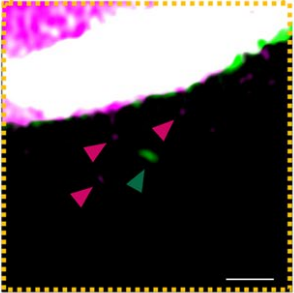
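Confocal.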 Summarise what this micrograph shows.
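At high magnification, the edge of a labelled cell appears as a bright band with a green-lined margin bordering a dark space. Within the dark space lie a few tiny isolated puncta, some magenta and one green, marked by arrowheads of matching colour.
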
